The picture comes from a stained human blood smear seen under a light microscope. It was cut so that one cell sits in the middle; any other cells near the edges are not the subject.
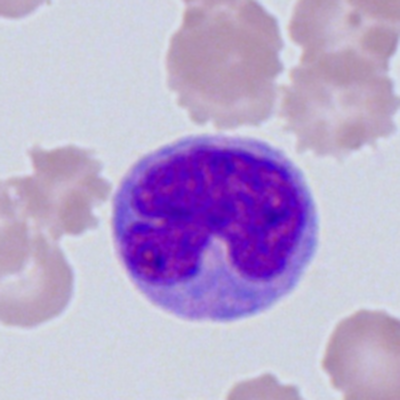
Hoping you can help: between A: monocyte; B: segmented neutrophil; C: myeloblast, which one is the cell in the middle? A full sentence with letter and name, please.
The cell right in the middle is a monocyte, so option A is the one.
